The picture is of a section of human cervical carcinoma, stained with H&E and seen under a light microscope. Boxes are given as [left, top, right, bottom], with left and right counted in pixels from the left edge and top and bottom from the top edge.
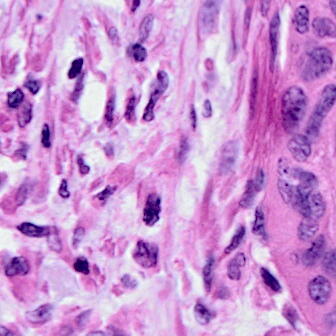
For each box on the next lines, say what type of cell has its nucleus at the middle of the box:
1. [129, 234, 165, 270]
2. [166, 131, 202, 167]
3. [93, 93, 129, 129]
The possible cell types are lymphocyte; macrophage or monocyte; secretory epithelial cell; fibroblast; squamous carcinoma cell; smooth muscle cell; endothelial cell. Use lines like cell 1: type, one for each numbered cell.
cell 1: macrophage or monocyte
cell 2: fibroblast
cell 3: fibroblast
